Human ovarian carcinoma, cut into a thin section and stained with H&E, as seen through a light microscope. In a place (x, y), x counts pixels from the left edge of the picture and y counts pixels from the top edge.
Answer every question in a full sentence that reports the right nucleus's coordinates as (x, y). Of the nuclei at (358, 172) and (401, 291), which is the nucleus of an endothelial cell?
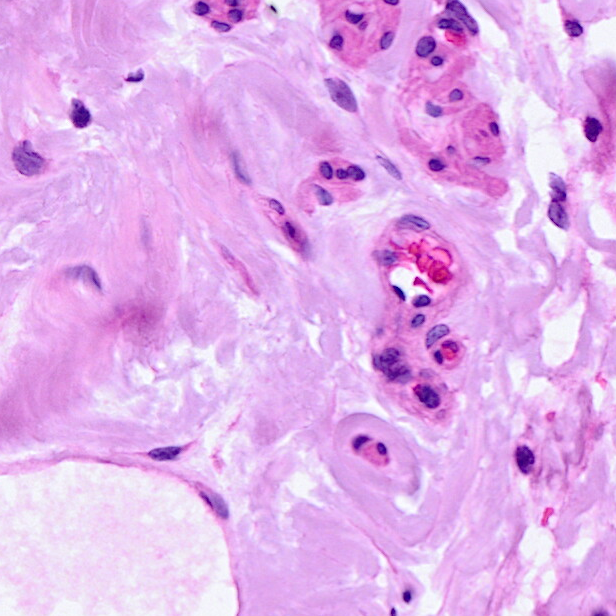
The nucleus positioned at (401, 291) is the one that belongs to an endothelial cell.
